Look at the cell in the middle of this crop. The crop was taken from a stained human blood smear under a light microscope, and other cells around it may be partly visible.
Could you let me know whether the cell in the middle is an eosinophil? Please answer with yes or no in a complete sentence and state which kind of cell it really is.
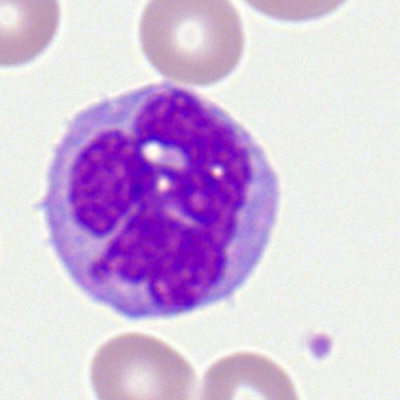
No, the cell under consideration is a monocyte instead of an eosinophil.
